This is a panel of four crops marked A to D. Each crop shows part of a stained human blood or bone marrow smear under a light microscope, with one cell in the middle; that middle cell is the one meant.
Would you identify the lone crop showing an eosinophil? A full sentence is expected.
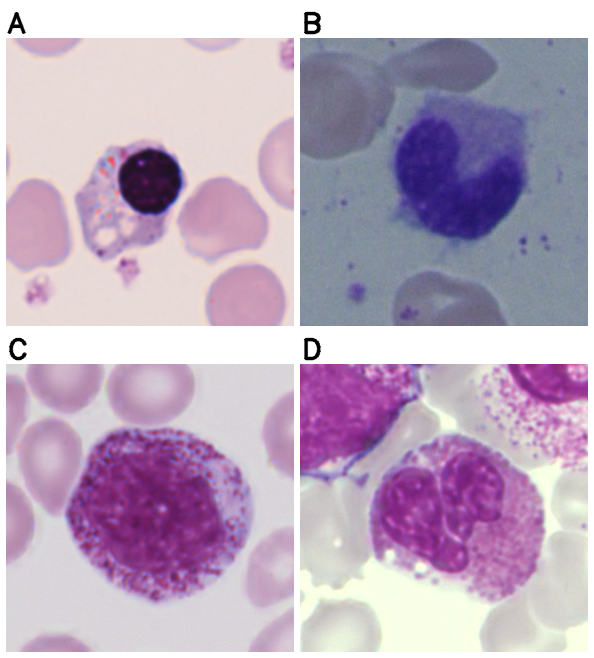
Crop D is the crop whose central cell is an eosinophil.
